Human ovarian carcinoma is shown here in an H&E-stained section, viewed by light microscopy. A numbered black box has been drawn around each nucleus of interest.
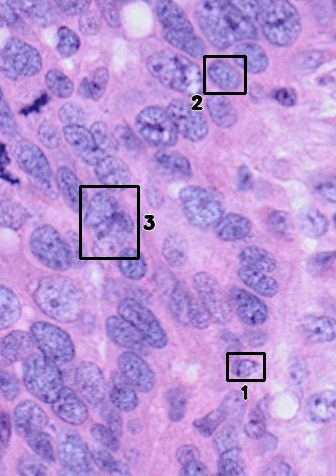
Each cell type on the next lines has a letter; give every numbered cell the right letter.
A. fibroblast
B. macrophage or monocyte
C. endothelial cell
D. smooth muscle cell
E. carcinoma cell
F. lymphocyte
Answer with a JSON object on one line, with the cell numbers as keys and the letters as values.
{"1": "B", "2": "E", "3": "E"}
